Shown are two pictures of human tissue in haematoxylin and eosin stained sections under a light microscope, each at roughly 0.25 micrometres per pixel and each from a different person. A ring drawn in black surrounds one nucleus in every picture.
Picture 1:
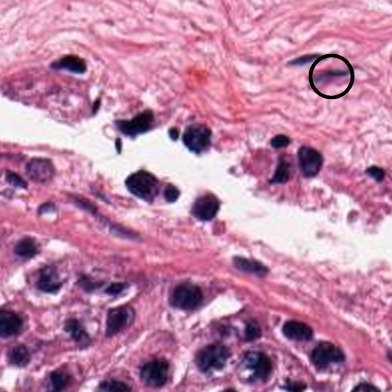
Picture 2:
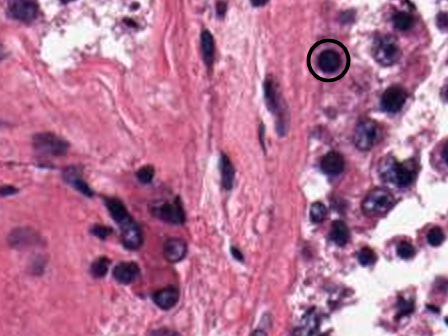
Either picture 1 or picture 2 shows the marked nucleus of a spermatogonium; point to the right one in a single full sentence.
In picture 2 alone, the marked nucleus belongs to a spermatogonium.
